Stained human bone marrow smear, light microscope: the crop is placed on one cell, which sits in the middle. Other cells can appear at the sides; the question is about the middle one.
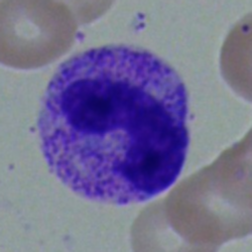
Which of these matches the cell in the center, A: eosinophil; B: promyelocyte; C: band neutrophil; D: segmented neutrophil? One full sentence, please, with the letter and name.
With the cell in the middle being a band neutrophil, option C is the correct choice.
